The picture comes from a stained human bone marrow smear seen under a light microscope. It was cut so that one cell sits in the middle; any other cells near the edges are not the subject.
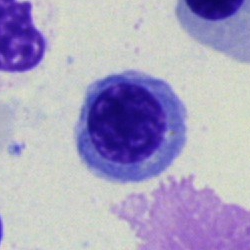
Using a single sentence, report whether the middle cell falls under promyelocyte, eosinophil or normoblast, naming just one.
By classification, the middle cell of this crop is a normoblast.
